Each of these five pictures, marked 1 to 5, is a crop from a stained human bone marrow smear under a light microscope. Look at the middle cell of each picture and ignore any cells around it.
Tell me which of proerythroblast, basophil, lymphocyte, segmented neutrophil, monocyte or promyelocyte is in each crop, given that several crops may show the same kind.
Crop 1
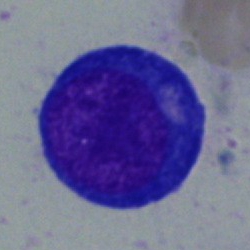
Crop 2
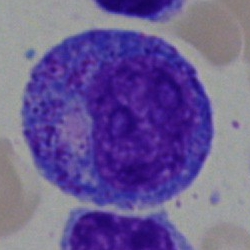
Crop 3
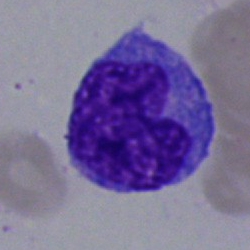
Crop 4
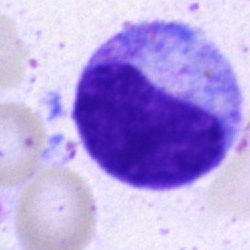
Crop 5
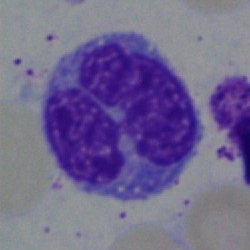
1: proerythroblast
2: promyelocyte
3: monocyte
4: promyelocyte
5: monocyte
